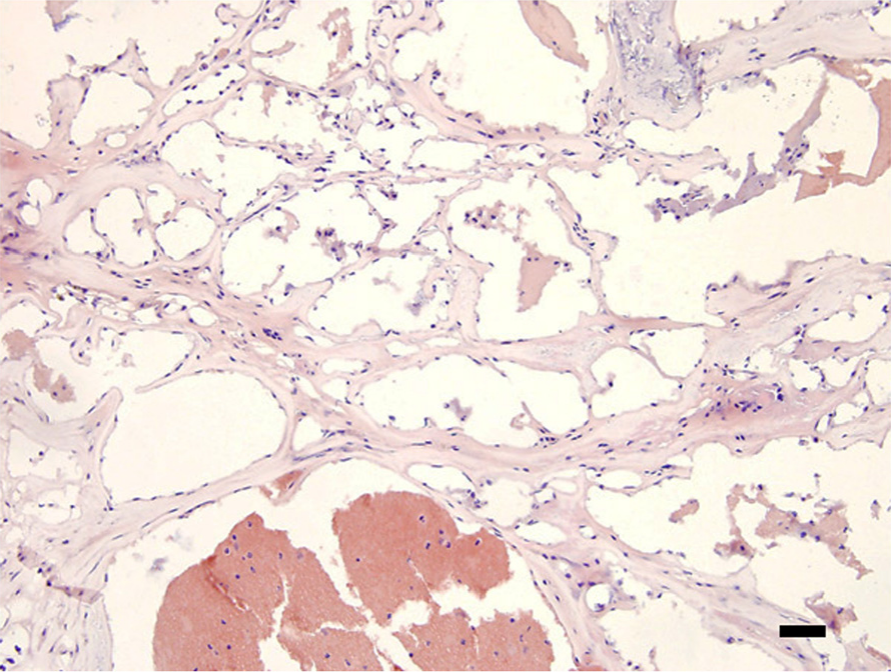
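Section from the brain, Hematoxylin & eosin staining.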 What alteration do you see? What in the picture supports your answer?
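Adjacent channels are separated only by thin pale-pink fibrous septa. No brain tissue with scattered glial or neuronal nuclei lies between the channels. On this evidence: little or no intervening parenchymal tissue.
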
